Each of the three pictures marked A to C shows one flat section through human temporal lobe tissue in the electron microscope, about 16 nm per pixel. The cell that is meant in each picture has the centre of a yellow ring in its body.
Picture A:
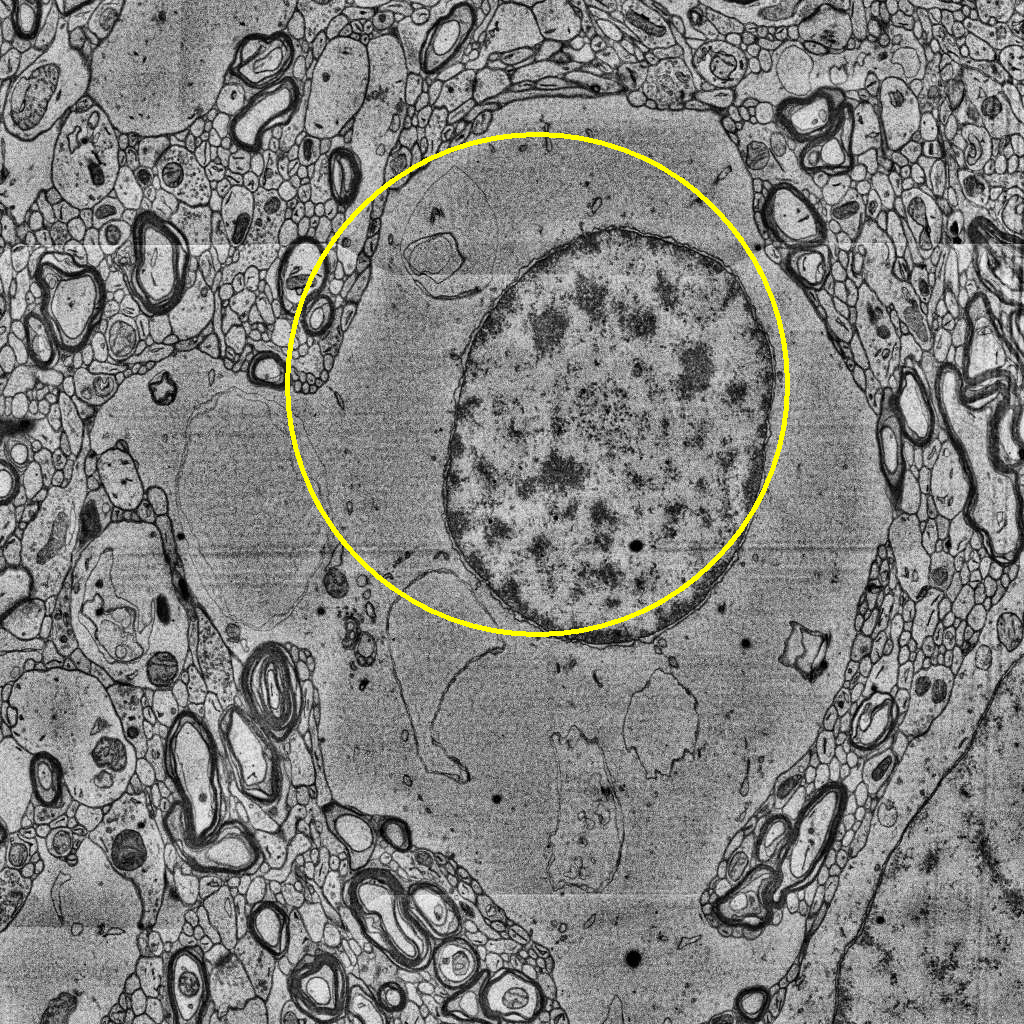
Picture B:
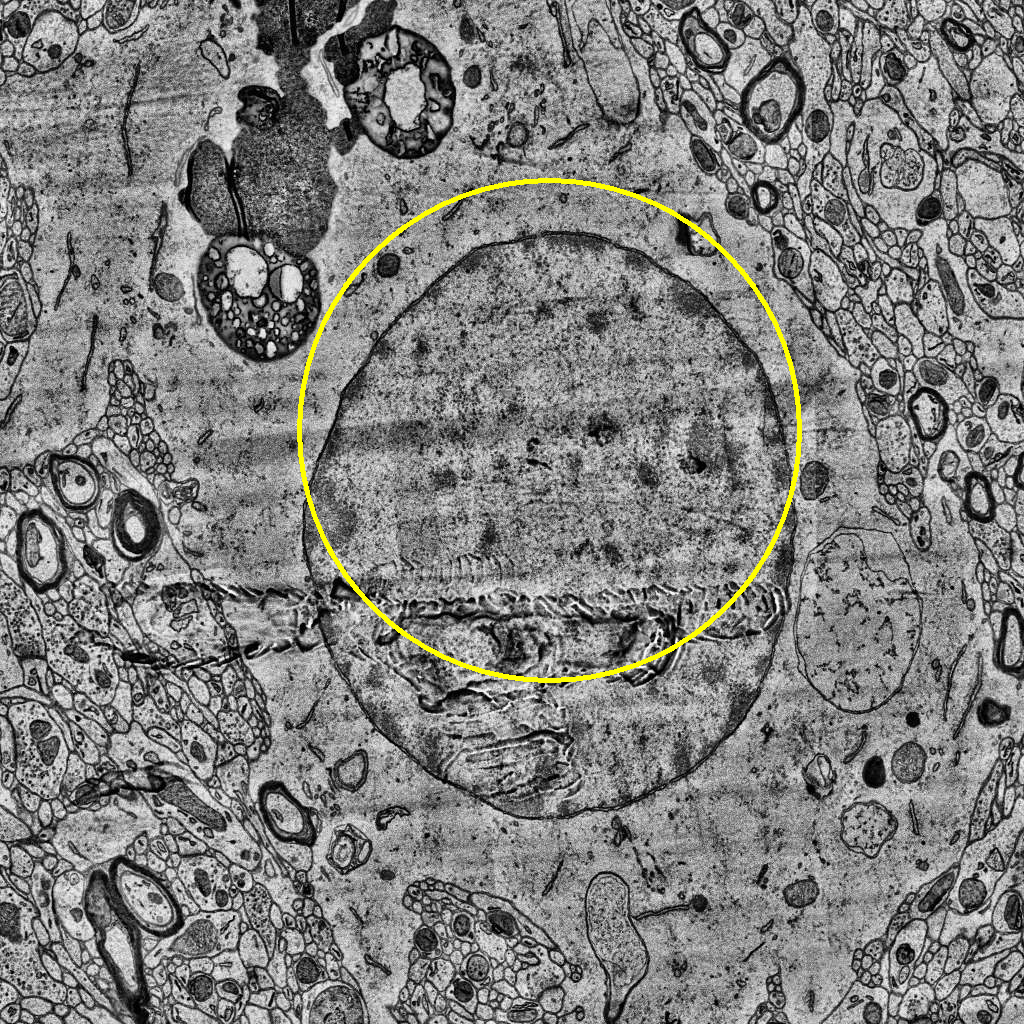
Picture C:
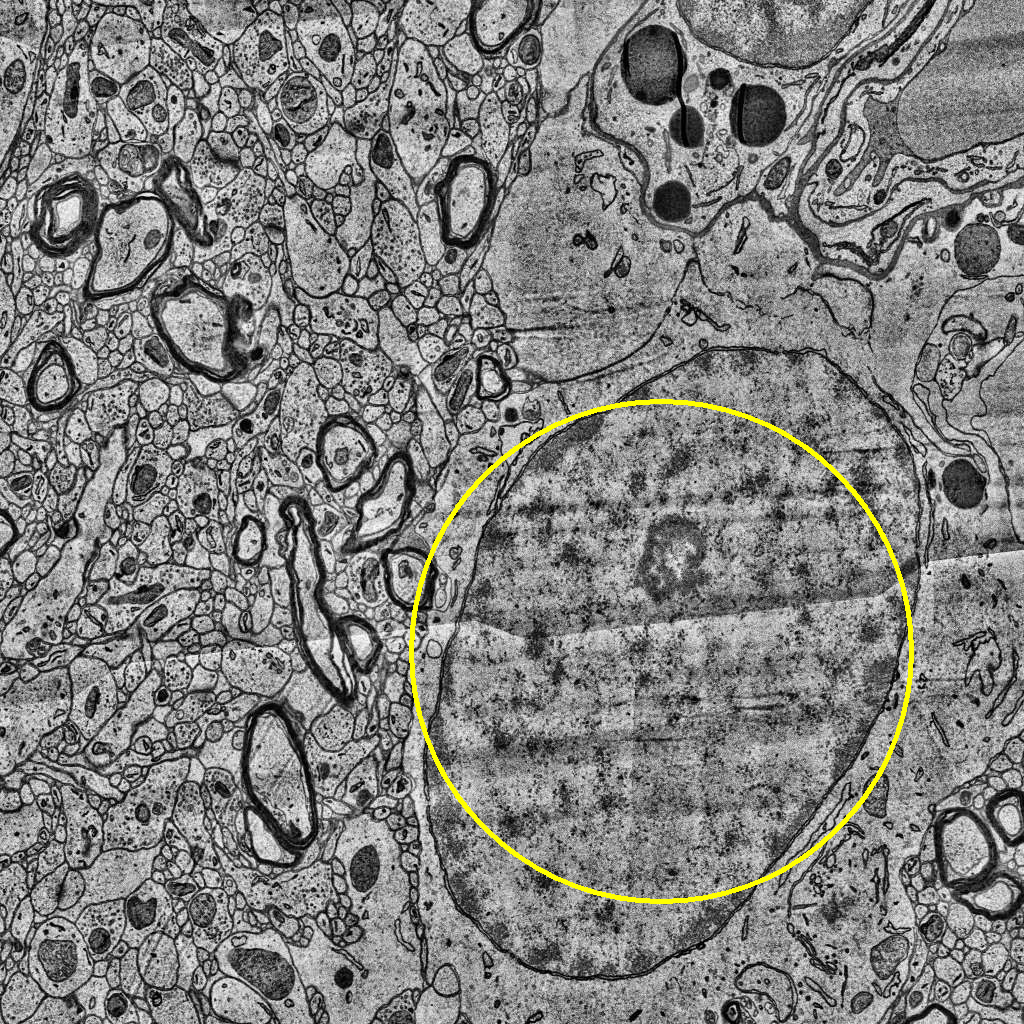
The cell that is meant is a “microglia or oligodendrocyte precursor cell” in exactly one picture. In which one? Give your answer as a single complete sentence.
The picture with the “microglia or oligodendrocyte precursor cell” is C.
